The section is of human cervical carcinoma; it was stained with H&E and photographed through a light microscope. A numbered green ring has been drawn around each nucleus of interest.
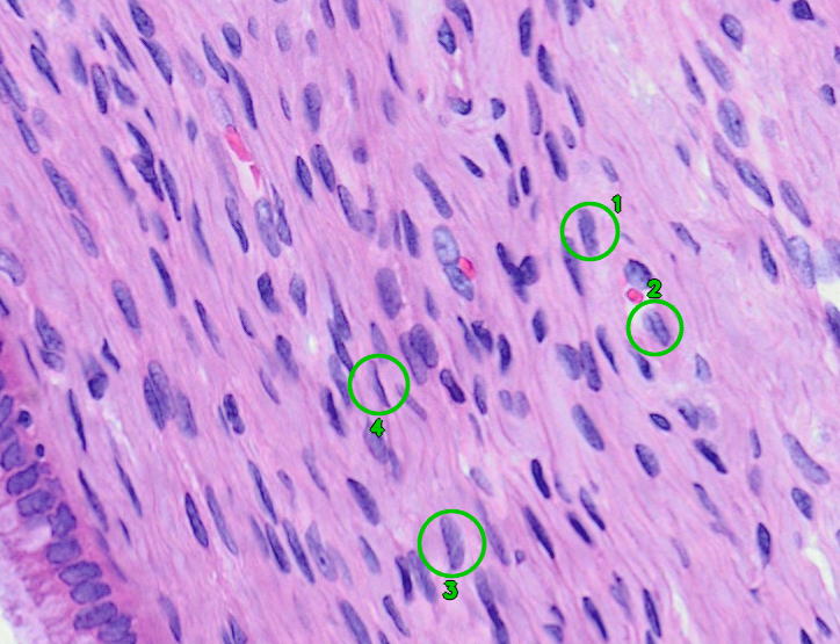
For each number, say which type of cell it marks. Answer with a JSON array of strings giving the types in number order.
["fibroblast", "endothelial cell", "fibroblast", "fibroblast"]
